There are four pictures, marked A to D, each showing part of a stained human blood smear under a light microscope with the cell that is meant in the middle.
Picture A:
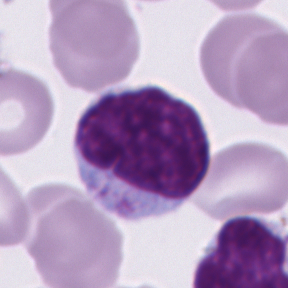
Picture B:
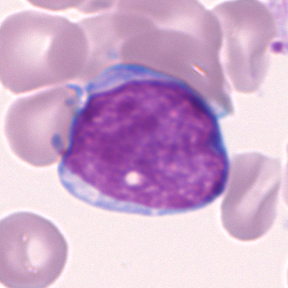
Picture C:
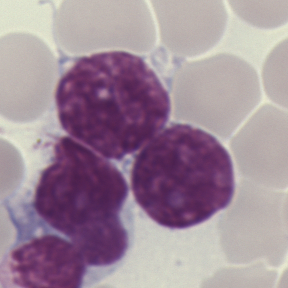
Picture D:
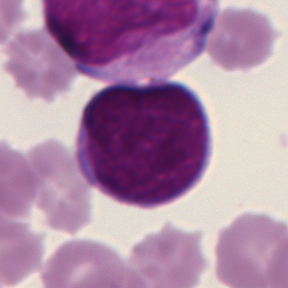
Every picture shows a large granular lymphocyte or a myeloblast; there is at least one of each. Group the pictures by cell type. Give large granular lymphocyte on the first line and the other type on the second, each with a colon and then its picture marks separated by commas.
large granular lymphocyte: A
myeloblast: B, C, D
